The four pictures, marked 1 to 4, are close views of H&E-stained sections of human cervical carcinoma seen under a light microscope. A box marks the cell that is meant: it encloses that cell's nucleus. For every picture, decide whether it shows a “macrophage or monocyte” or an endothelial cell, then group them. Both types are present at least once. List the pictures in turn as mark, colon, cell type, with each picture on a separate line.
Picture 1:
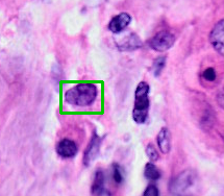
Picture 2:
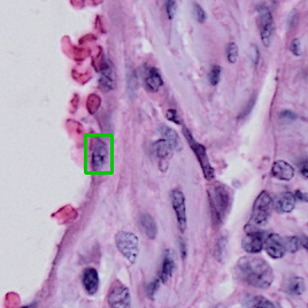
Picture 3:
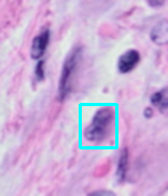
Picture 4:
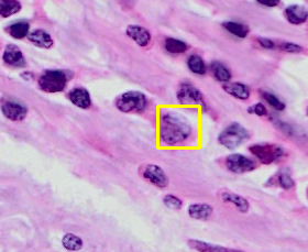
1: macrophage or monocyte
2: endothelial cell
3: macrophage or monocyte
4: macrophage or monocyte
